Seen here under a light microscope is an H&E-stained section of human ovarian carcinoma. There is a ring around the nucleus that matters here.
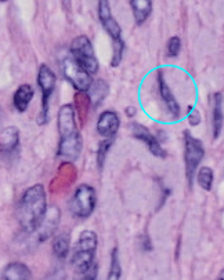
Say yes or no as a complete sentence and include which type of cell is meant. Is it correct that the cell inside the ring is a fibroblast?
Yes, correct on this one: the cell inside the ring is a fibroblast.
